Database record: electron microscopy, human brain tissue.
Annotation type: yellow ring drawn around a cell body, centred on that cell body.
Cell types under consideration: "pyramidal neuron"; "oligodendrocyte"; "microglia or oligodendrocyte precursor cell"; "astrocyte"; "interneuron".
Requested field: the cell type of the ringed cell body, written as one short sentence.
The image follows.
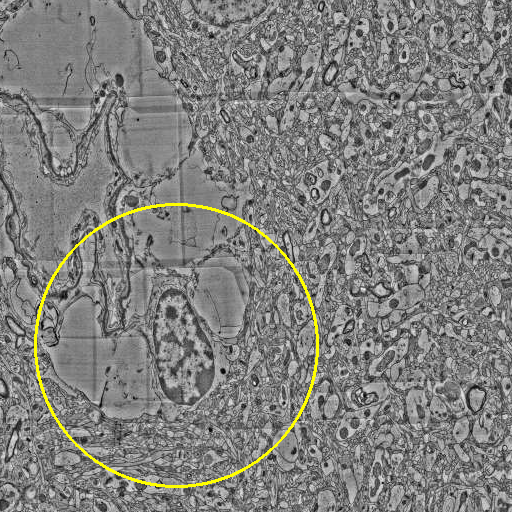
The ringed cell body represents a microglial cell or oligodendrocyte precursor cell.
